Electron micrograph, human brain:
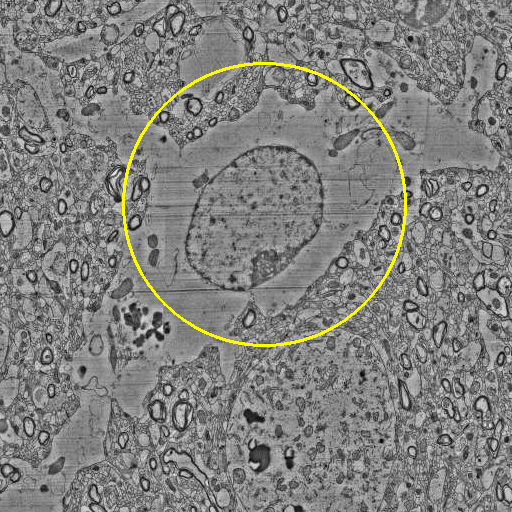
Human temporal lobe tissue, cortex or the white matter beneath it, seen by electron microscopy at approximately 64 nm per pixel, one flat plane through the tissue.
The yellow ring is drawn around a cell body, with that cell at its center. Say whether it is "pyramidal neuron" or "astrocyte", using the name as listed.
astrocyte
